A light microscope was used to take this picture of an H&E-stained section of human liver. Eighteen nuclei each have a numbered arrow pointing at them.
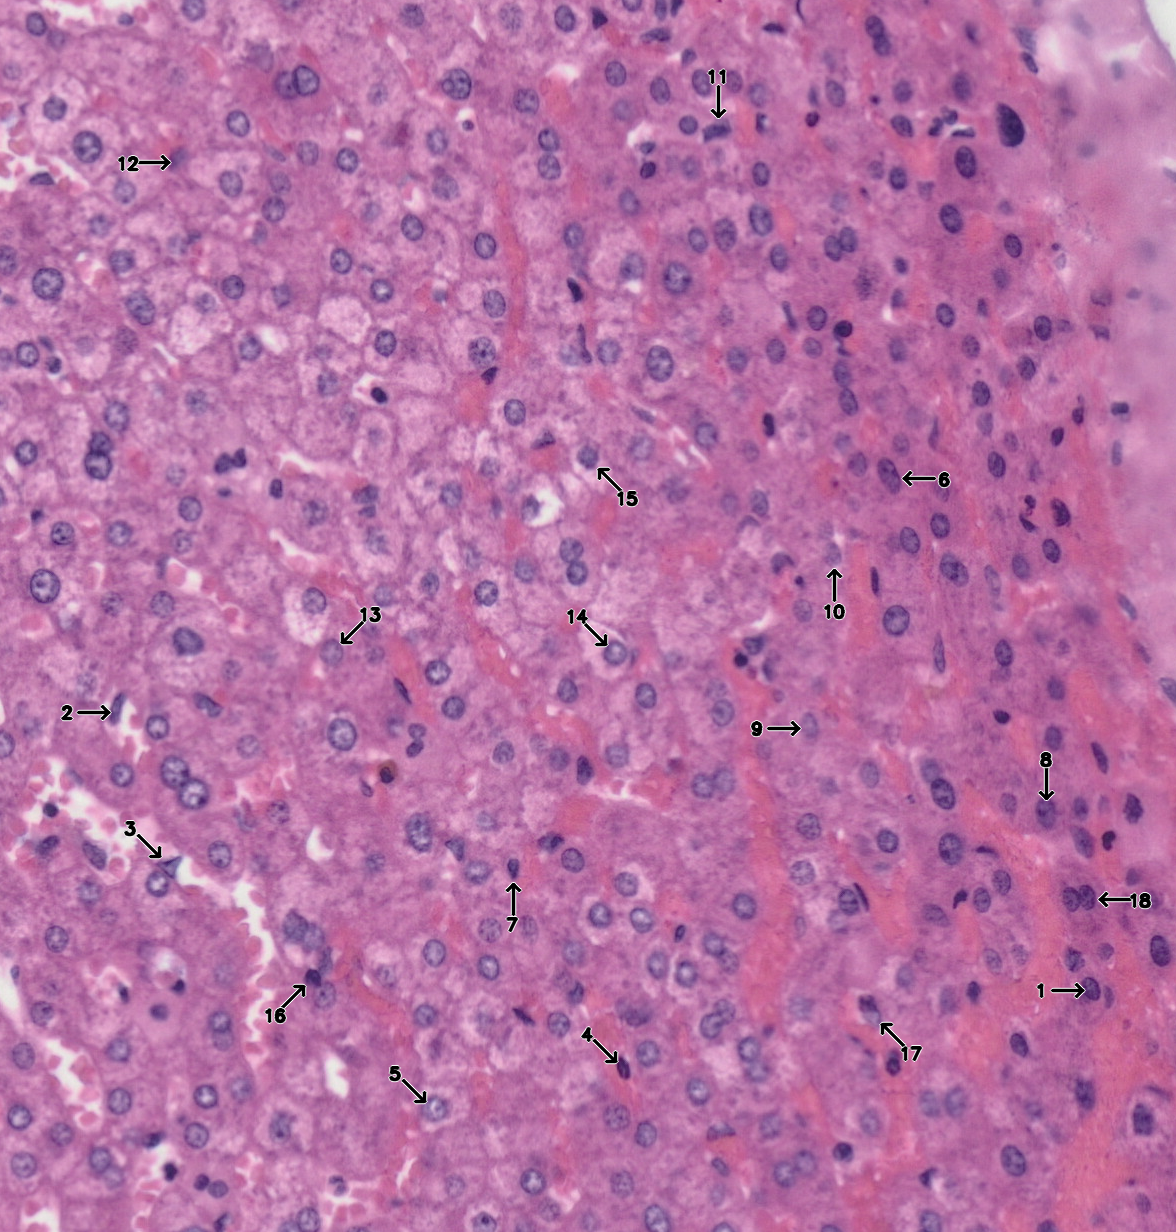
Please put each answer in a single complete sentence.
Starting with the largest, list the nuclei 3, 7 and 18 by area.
Largest first, the order by area is 3, 18, 7.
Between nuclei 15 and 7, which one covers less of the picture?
Nucleus 7 is the smaller one; nucleus 15 covers about 1.5 times its area.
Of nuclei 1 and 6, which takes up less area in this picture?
With nucleus 6 about 1.5 times its size, nucleus 1 is the smaller of the two.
